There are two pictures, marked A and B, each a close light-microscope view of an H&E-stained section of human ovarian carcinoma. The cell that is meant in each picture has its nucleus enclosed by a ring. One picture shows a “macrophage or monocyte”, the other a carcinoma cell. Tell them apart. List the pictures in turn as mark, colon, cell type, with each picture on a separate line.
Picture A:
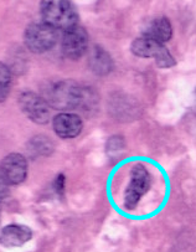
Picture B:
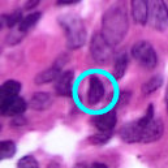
A: macrophage or monocyte
B: carcinoma cell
